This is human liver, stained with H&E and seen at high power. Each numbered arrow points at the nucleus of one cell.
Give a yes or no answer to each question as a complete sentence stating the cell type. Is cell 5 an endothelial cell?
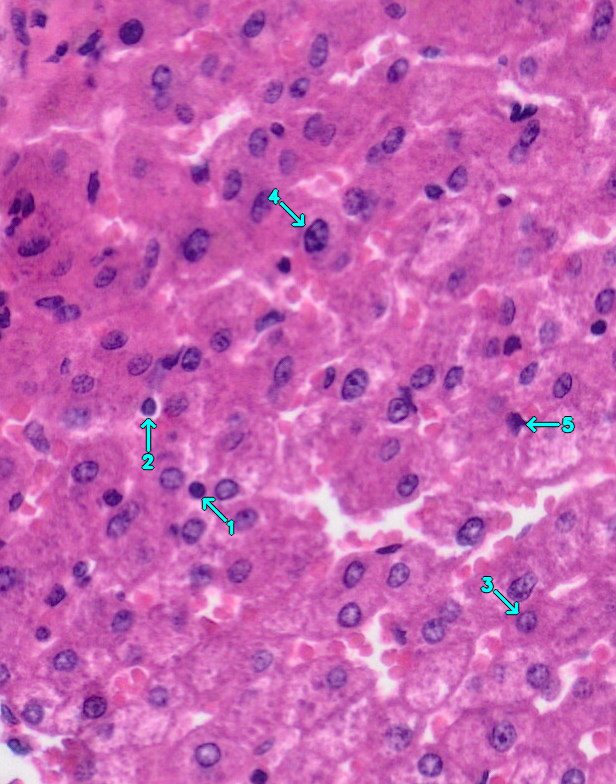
Yes, the marked cell number 5 is an endothelial cell.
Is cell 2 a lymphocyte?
Yes, and to answer plainly, cell 2 is a lymphocyte.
